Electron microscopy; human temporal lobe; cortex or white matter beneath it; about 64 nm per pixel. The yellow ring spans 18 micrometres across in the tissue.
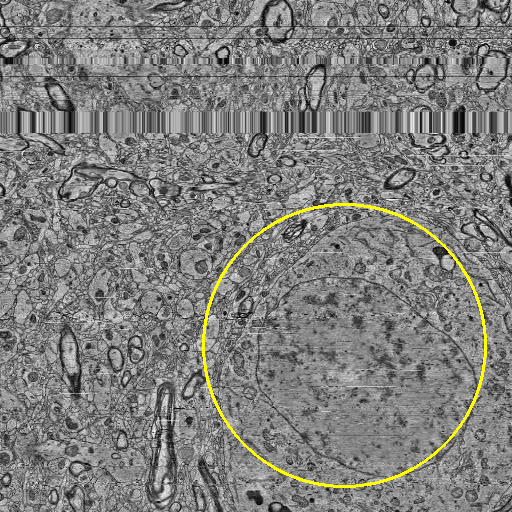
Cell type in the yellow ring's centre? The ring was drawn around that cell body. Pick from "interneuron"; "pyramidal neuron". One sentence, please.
The ringed cell body is that of a pyramidal neuron.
